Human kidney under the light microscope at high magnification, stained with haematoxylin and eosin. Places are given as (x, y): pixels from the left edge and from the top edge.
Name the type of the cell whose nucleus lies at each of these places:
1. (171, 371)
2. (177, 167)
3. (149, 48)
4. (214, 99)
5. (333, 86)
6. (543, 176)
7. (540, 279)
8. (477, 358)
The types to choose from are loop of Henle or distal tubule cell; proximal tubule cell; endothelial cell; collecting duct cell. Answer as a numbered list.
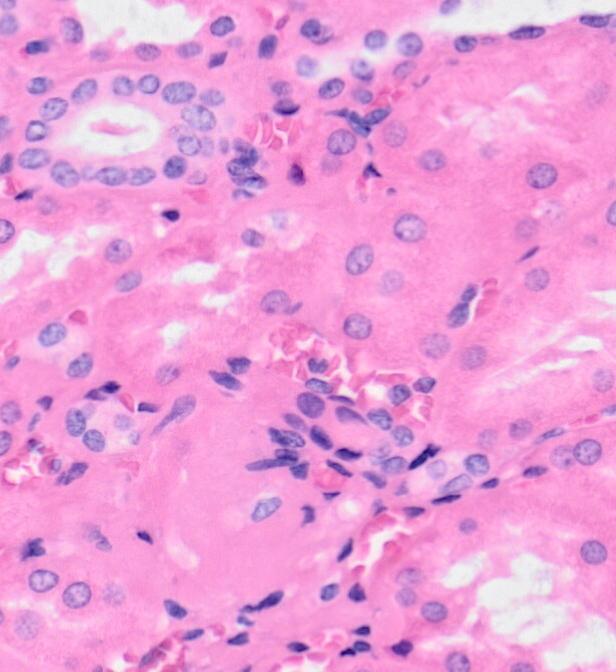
1. proximal tubule cell
2. collecting duct cell
3. loop of Henle or distal tubule cell
4. collecting duct cell
5. loop of Henle or distal tubule cell
6. proximal tubule cell
7. proximal tubule cell
8. proximal tubule cell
